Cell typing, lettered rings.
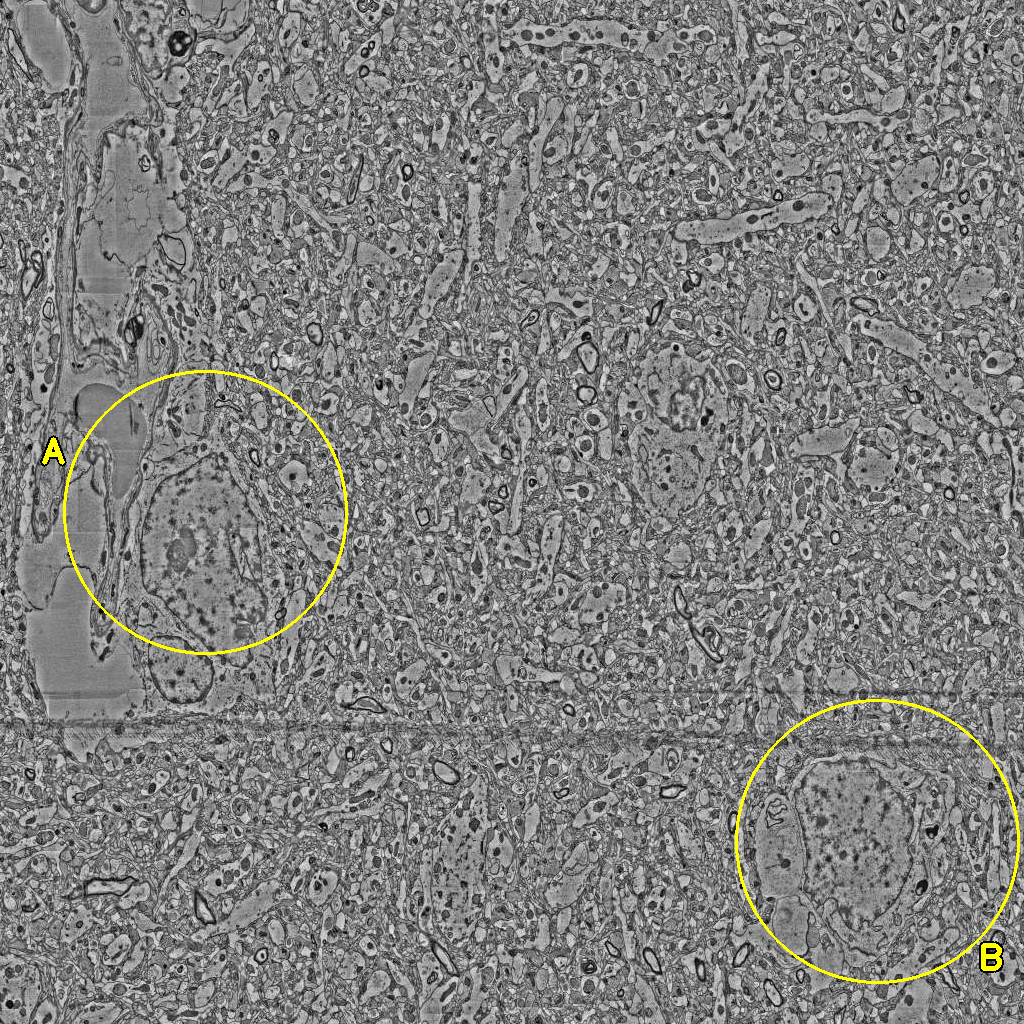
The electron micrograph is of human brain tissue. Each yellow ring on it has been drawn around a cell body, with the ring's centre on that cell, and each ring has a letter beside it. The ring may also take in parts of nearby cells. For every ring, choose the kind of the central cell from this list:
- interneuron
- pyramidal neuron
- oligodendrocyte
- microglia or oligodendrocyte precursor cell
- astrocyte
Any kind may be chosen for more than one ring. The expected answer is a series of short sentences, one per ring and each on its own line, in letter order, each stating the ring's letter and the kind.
For ring A, the centred cell is an interneuron.
For ring B, the centred cell is an interneuron.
